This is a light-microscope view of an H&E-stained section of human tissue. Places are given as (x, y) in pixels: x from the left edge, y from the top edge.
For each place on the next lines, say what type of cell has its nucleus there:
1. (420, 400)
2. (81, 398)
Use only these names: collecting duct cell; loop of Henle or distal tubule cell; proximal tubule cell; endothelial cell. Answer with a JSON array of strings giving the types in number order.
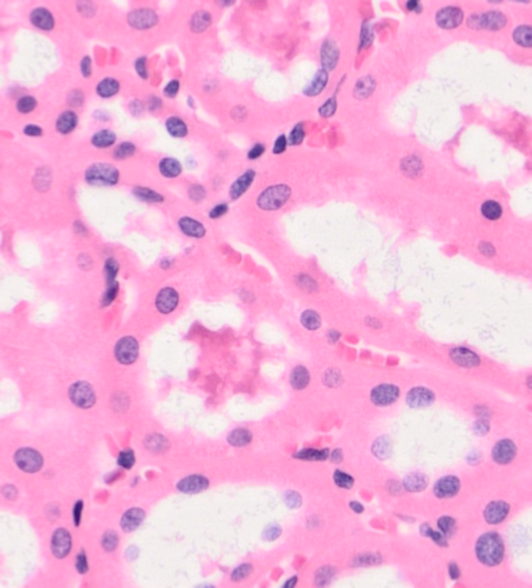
["loop of Henle or distal tubule cell", "proximal tubule cell"]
